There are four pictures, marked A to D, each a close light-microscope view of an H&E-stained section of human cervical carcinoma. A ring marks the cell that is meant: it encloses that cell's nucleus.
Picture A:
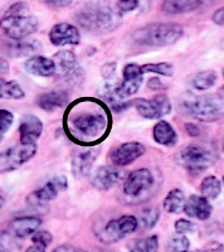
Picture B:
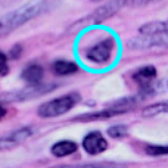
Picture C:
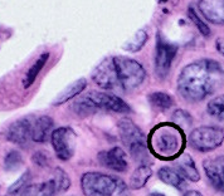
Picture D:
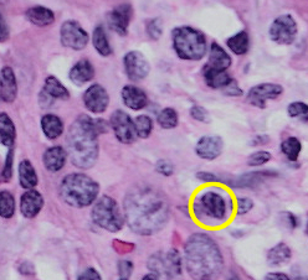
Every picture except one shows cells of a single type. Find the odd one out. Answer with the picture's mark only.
C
